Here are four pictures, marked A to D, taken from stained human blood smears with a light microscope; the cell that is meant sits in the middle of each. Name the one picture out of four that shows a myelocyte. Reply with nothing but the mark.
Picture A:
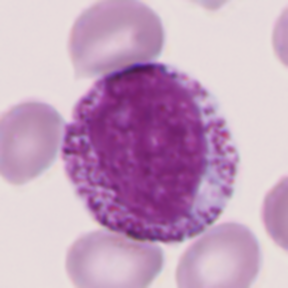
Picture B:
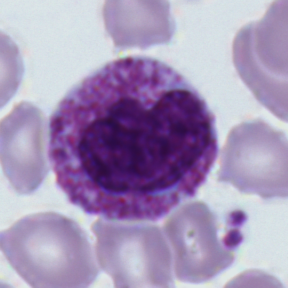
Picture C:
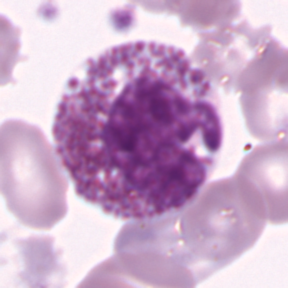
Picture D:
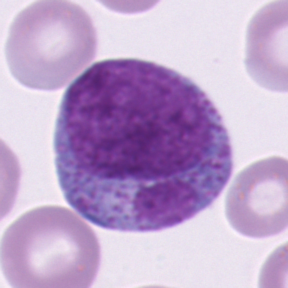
A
